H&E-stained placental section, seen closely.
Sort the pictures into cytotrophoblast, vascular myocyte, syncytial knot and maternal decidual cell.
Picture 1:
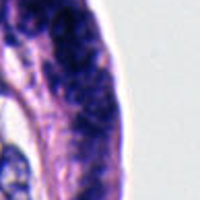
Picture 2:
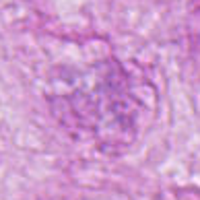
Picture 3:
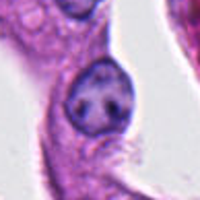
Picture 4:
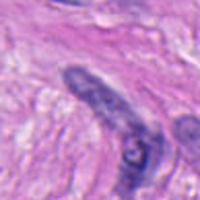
Syncytial knots: 1
Maternal decidual cells: 2
Cytotrophoblasts: 3
Vascular myocytes: 4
